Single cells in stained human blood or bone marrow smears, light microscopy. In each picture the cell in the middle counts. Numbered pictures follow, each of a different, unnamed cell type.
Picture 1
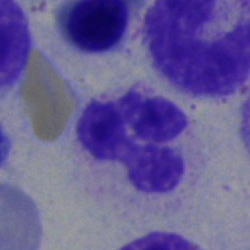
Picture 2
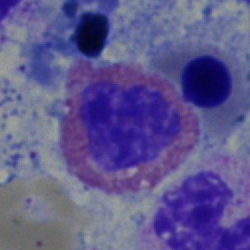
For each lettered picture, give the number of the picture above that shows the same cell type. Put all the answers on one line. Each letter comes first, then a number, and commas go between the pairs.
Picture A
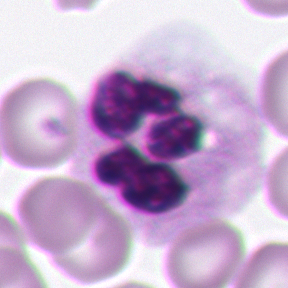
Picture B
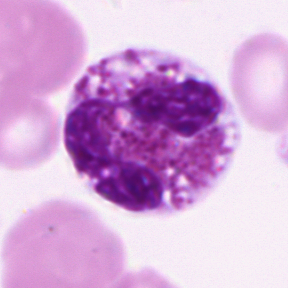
A 1, B 2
